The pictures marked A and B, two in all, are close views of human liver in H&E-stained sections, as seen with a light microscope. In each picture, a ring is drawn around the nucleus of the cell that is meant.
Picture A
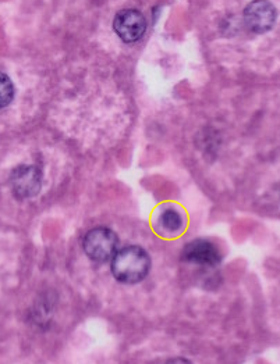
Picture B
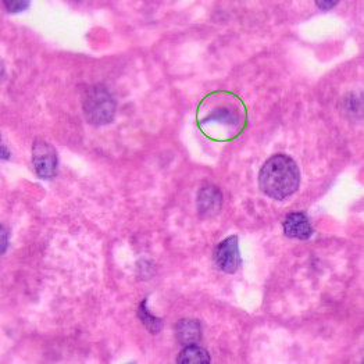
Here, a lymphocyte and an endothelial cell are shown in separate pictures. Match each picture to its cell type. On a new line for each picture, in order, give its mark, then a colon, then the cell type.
A: lymphocyte
B: endothelial cell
